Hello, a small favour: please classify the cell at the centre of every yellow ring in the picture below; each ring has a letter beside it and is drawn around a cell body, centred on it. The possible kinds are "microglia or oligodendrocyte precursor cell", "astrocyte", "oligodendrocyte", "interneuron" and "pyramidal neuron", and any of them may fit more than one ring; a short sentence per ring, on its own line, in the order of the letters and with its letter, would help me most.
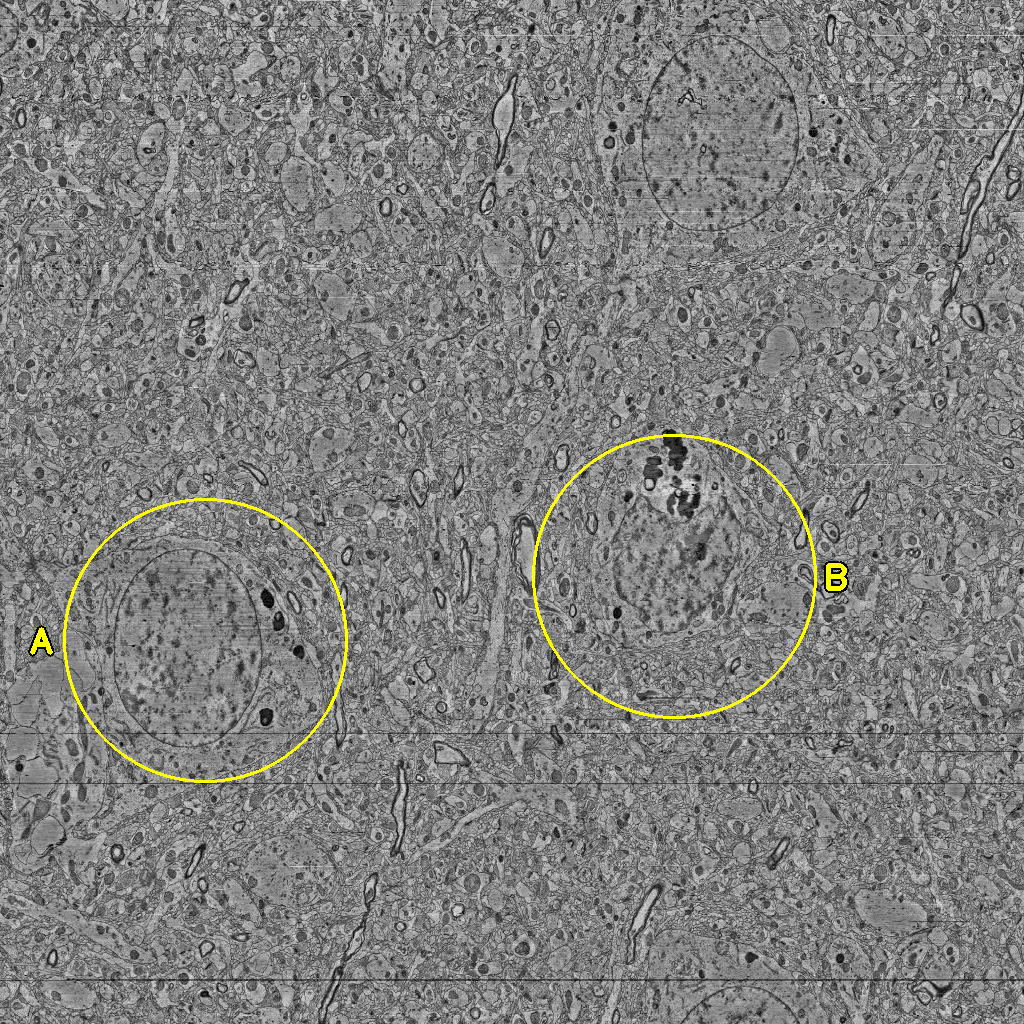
The centre of ring A falls on a pyramidal neuron.
The centre of ring B falls on an interneuron.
